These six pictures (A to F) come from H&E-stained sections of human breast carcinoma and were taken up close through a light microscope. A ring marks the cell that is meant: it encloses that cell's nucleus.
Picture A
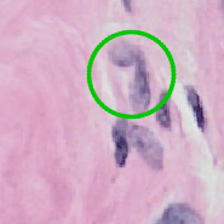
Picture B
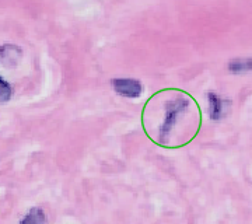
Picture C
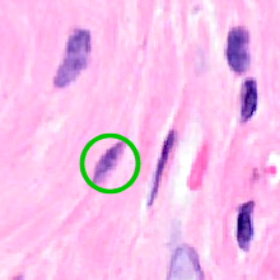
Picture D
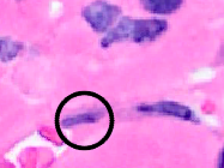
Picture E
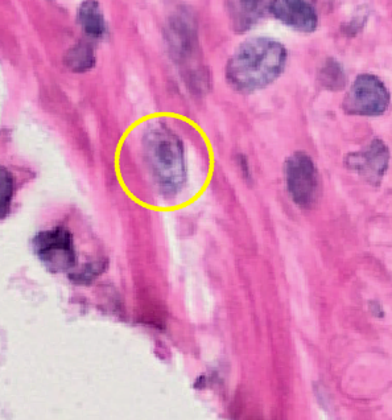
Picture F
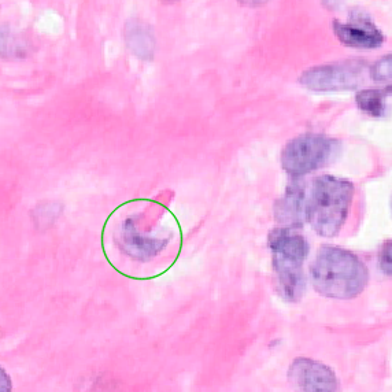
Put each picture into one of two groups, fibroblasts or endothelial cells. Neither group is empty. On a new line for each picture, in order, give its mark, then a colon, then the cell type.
A: endothelial cell
B: fibroblast
C: fibroblast
D: endothelial cell
E: fibroblast
F: endothelial cell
